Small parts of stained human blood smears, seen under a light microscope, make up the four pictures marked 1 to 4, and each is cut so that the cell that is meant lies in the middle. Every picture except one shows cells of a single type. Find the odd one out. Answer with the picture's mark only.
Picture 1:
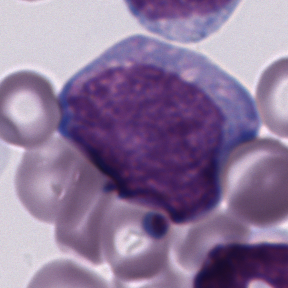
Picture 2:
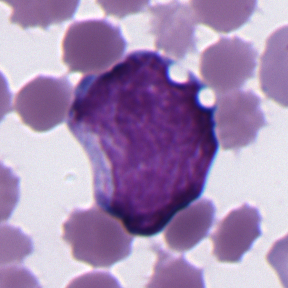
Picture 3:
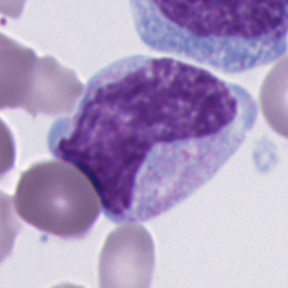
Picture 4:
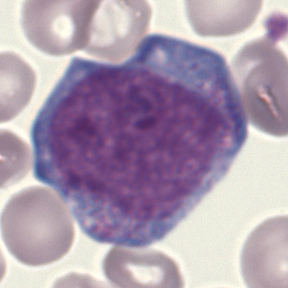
2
